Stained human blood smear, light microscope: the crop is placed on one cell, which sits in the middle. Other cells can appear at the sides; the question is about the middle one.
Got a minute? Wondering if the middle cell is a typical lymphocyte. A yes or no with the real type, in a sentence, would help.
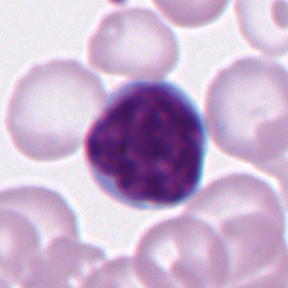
Yes, the cell under consideration, the one in the middle, is a typical lymphocyte.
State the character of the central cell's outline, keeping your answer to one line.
Nothing juts out from the margin, which is smooth throughout.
